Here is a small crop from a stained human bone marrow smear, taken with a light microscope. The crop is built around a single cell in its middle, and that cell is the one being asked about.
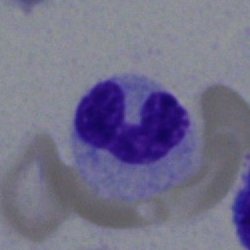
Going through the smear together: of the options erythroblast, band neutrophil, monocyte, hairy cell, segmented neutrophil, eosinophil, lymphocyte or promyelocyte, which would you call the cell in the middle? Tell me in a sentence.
In the middle of this smear crop is a band neutrophil.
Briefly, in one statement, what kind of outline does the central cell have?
The border of this cell runs smooth and free of any projections.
